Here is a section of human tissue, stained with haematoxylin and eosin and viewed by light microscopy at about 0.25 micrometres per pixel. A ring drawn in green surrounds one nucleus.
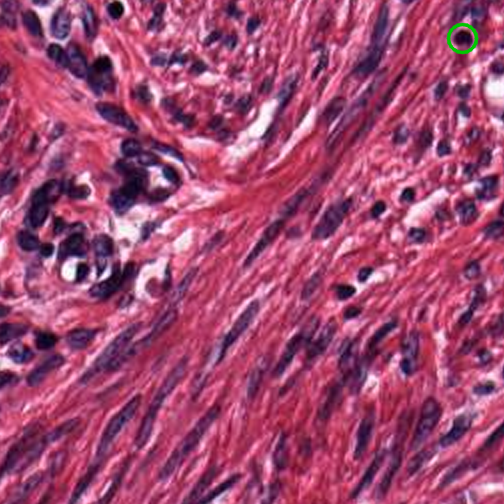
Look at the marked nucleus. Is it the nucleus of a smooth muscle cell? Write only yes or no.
no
